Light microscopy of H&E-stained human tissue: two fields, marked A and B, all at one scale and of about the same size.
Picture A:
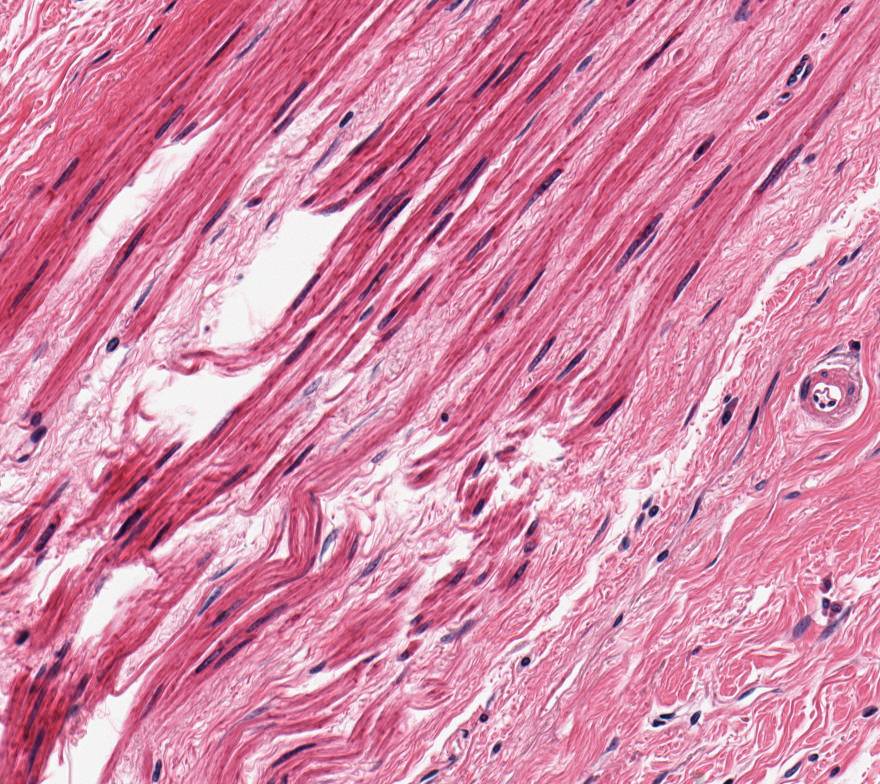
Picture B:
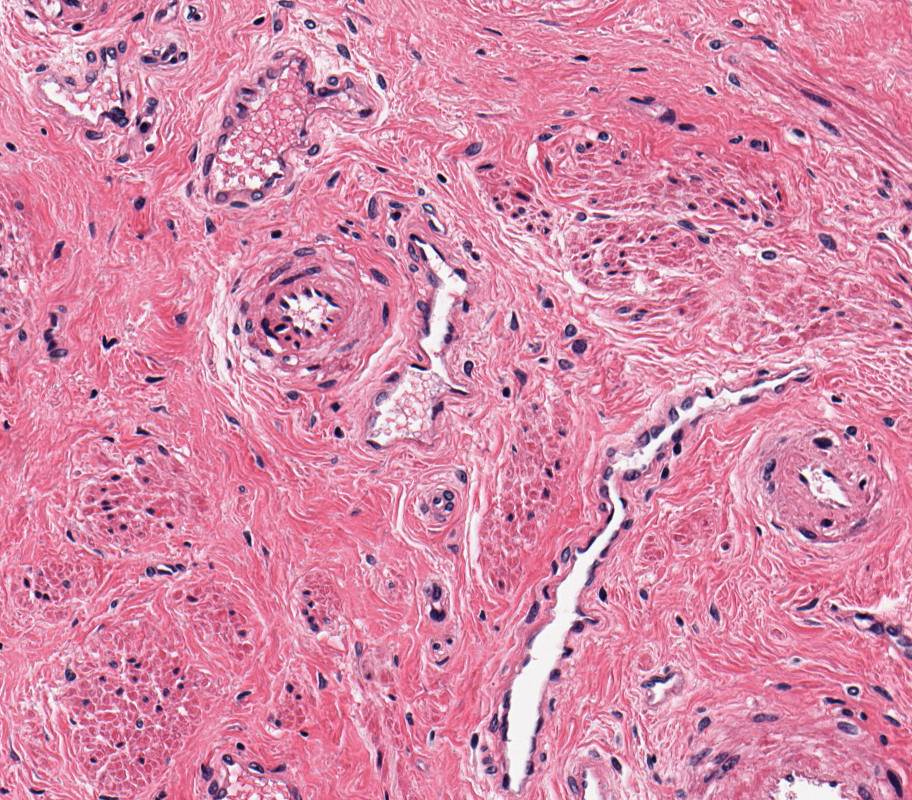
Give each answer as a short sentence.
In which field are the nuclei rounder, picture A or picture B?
It is picture B whose nuclei are the rounder.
